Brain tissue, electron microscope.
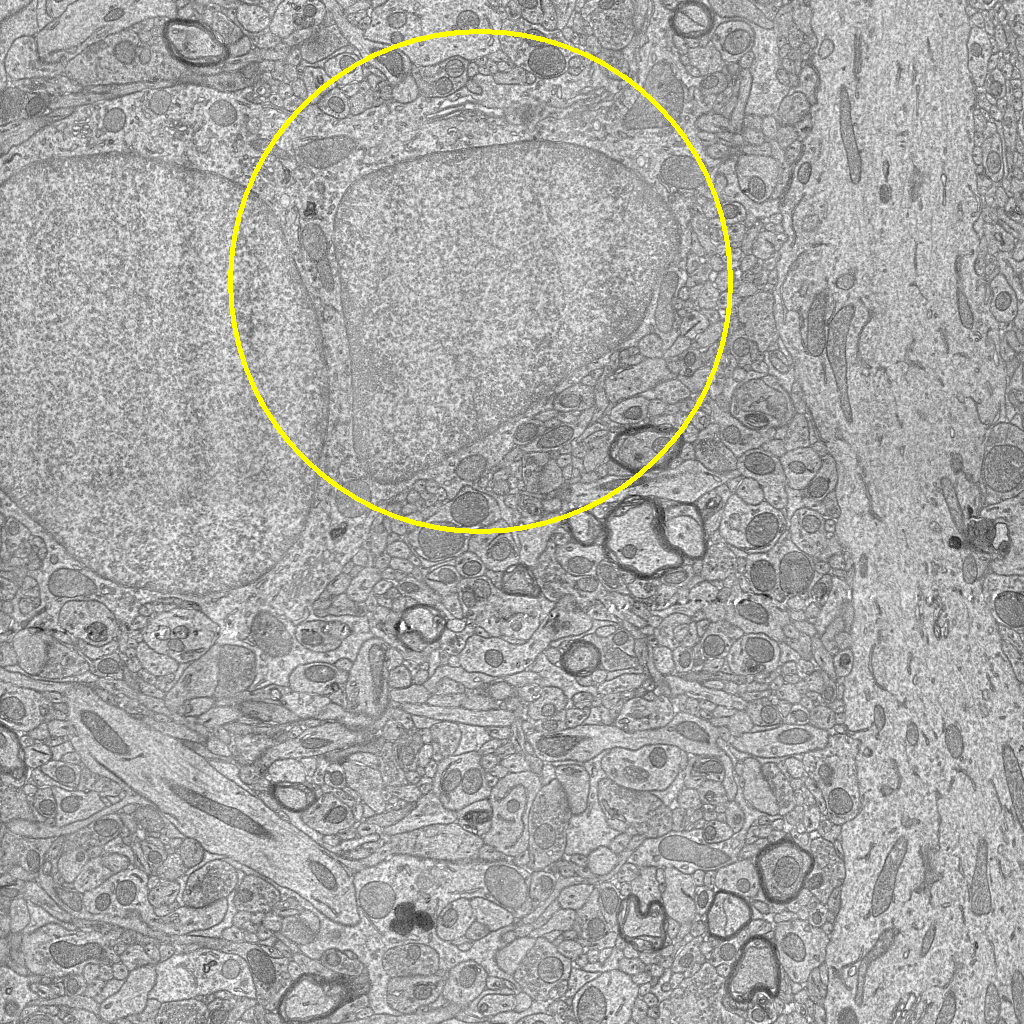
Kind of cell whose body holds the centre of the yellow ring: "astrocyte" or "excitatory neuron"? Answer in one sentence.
The ring's centre falls on an astrocyte.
